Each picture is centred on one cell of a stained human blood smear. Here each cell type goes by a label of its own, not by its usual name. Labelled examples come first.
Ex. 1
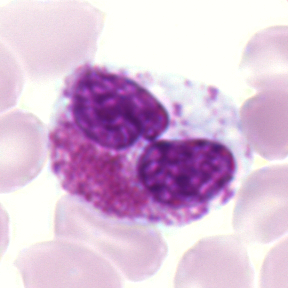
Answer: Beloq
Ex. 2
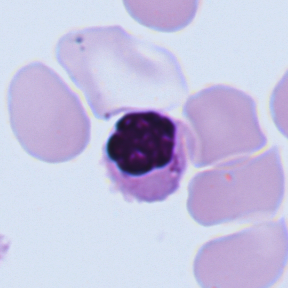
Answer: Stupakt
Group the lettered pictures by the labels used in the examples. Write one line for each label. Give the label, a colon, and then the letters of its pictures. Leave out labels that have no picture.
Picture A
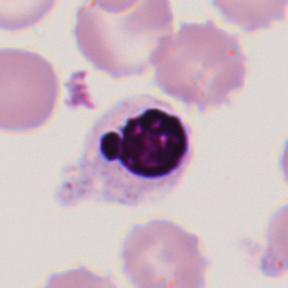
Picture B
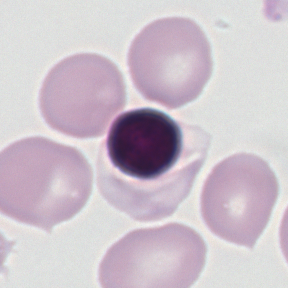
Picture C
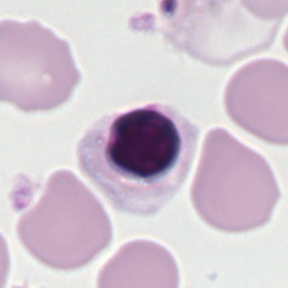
Stupakt: A, B, C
